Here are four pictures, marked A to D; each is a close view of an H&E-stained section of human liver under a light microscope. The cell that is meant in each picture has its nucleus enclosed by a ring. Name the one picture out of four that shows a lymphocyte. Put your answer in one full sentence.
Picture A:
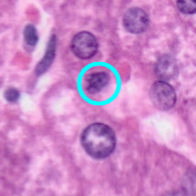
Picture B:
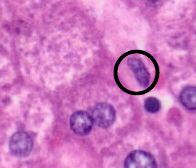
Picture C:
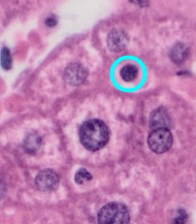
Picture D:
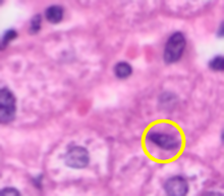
It is picture C that shows the lymphocyte.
